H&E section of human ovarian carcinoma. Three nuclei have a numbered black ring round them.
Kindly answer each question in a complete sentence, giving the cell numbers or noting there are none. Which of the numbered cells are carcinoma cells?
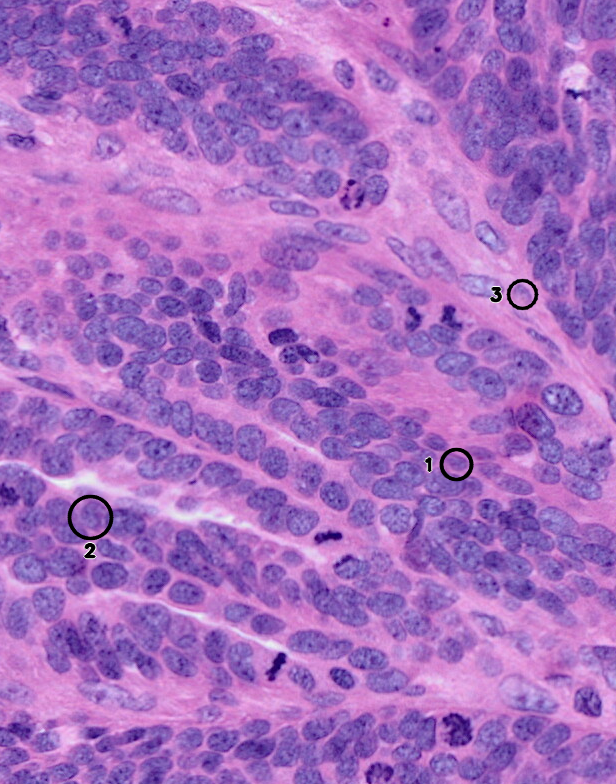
The cells that the numbers 1 and 2 belong to are carcinoma cells.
